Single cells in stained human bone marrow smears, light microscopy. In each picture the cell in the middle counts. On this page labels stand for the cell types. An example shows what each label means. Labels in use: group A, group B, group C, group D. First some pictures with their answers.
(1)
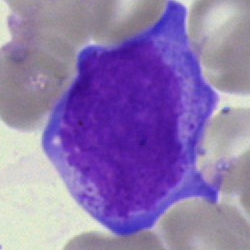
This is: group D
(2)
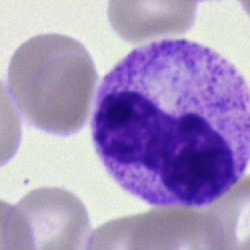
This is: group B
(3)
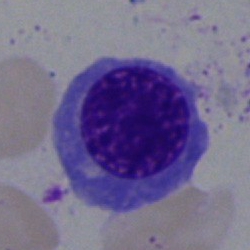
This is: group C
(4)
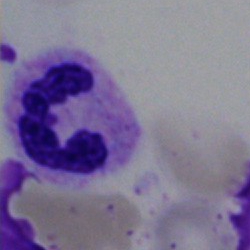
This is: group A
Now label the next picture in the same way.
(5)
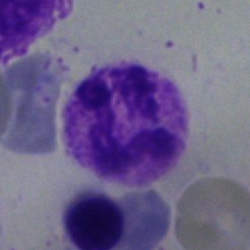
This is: group A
